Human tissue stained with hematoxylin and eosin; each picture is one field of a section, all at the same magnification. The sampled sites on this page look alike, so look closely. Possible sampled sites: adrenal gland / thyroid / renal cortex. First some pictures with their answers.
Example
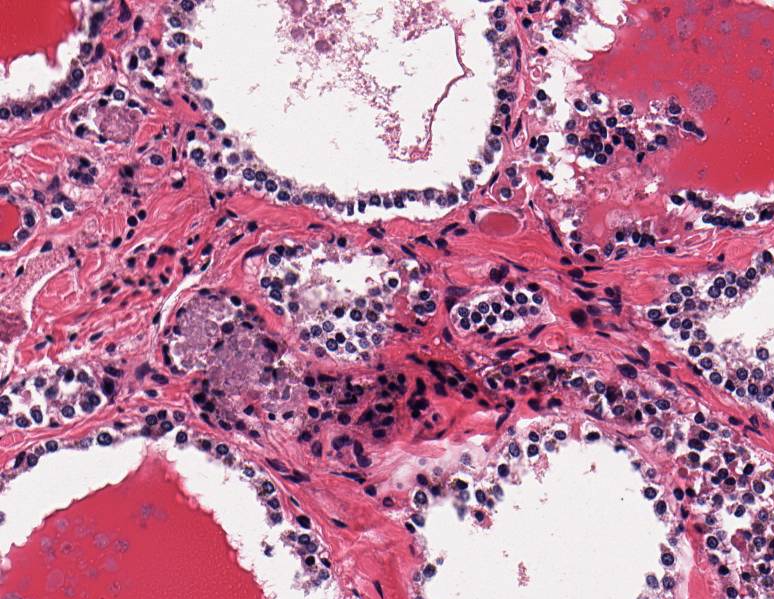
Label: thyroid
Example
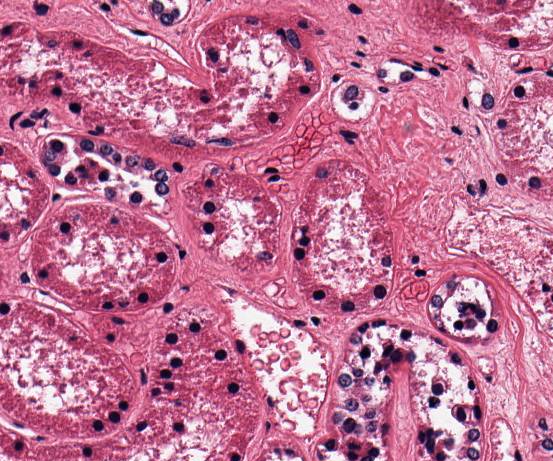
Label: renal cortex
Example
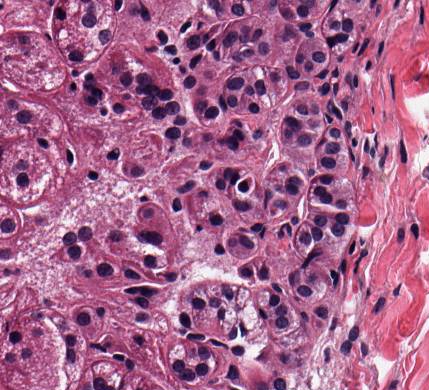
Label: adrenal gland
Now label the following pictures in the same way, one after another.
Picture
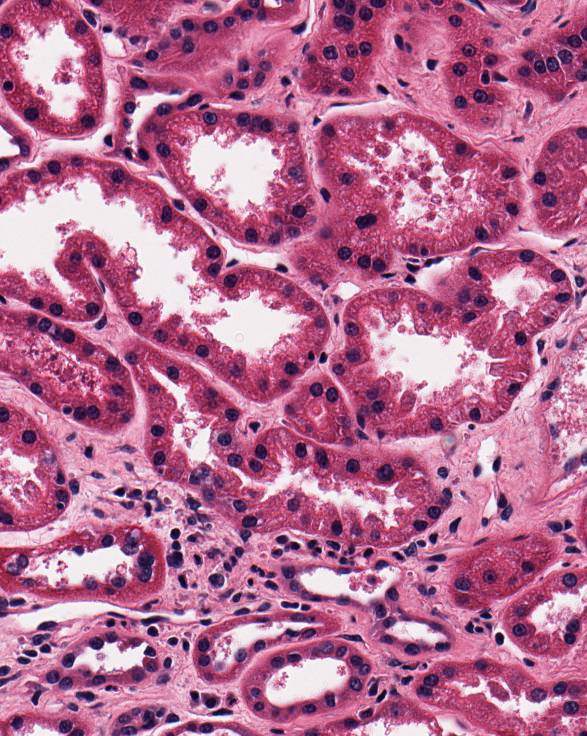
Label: renal cortex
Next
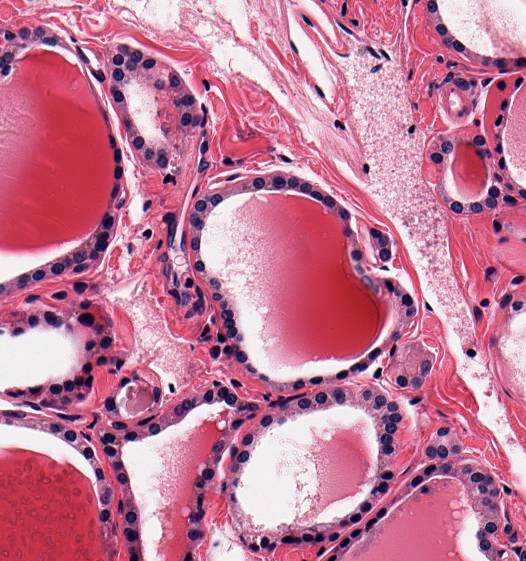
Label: thyroid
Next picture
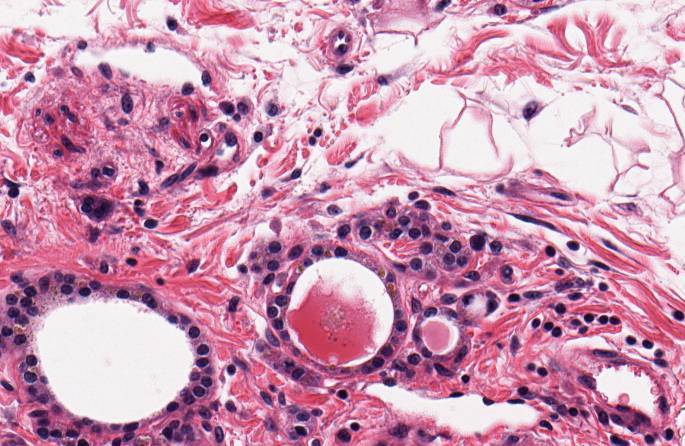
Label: thyroid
